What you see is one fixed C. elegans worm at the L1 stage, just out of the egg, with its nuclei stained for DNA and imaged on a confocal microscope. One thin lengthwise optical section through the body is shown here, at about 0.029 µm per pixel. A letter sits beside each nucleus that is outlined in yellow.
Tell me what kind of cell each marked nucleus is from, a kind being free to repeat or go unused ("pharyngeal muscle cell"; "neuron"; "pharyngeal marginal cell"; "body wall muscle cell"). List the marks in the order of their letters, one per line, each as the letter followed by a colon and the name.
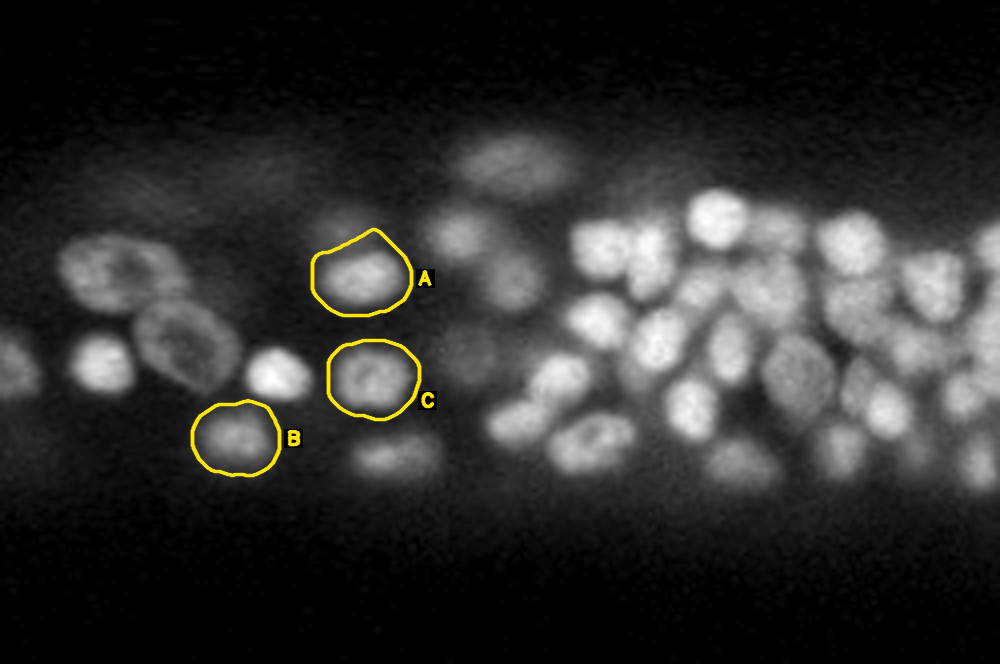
A: pharyngeal marginal cell
B: body wall muscle cell
C: pharyngeal muscle cell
